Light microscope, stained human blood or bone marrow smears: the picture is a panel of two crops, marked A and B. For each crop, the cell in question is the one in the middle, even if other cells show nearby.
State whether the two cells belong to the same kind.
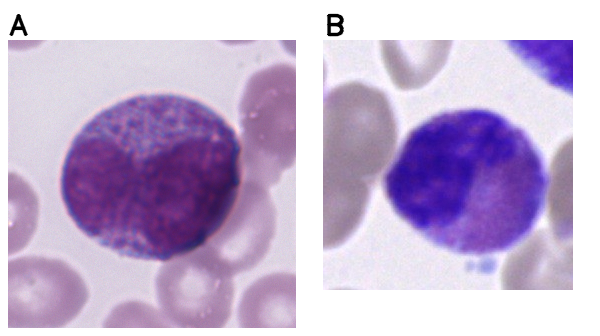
no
